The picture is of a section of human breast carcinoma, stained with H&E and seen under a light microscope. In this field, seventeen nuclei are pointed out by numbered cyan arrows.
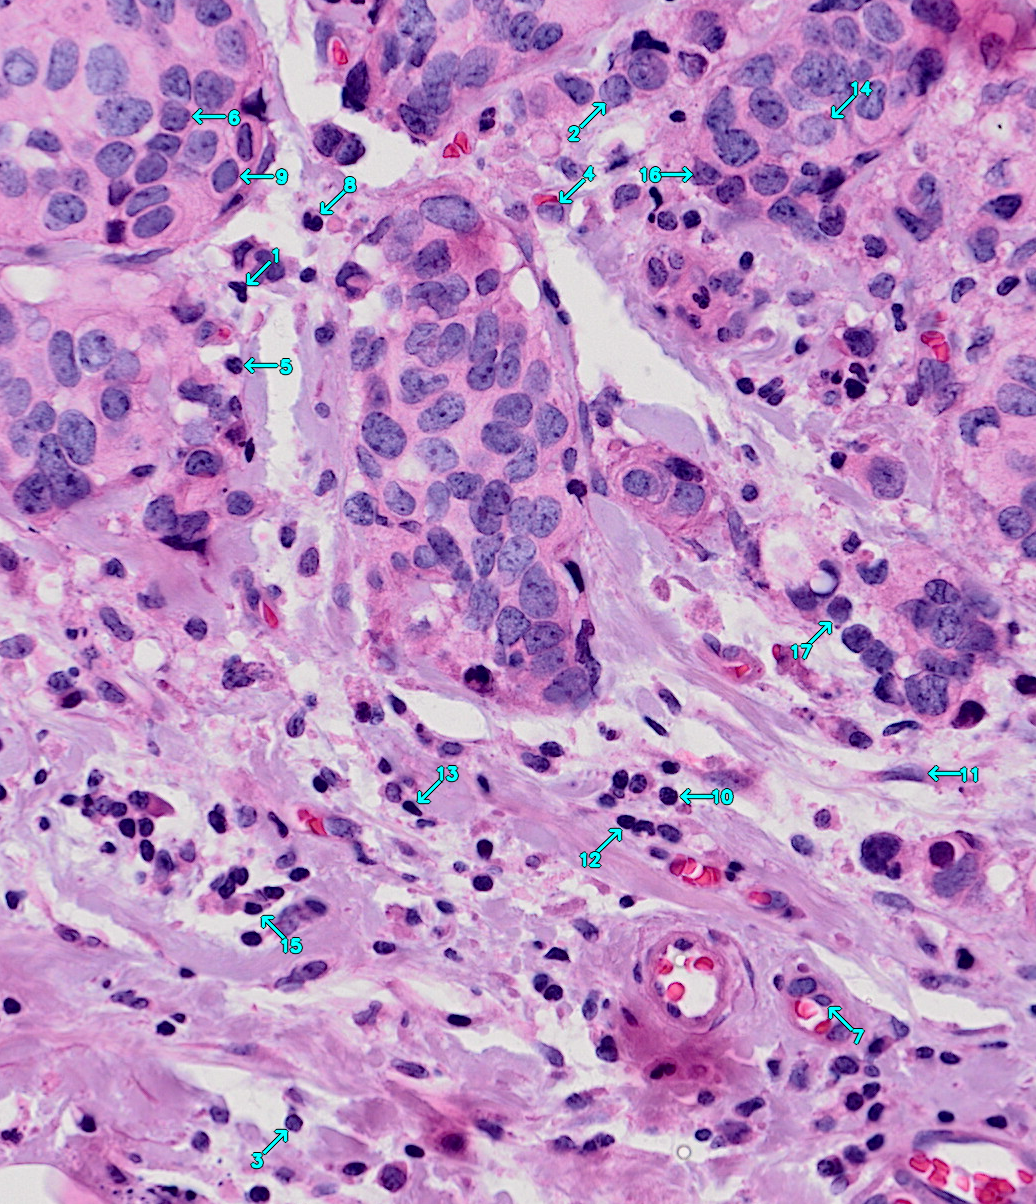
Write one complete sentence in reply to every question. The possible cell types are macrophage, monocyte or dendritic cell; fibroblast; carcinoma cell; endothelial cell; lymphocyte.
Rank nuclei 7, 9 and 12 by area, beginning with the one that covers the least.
From smallest to largest, the order is 7, 12, 9.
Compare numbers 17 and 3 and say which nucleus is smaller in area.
With nucleus 17 about 2 times its size, nucleus 3 is the smaller of the two.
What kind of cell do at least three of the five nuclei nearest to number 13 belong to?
Most of the five nuclei nearest to number 13 are those of macrophages, monocytes or dendritic cells.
